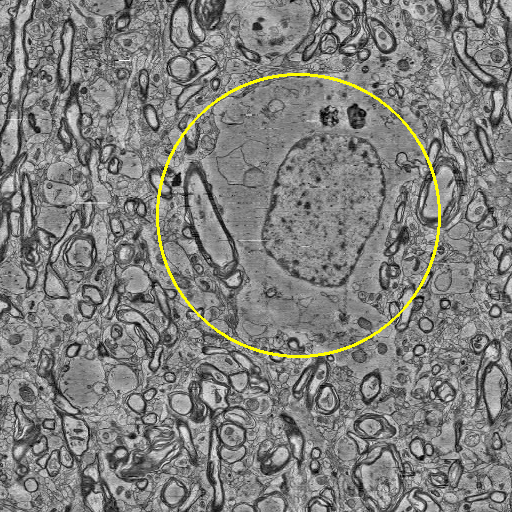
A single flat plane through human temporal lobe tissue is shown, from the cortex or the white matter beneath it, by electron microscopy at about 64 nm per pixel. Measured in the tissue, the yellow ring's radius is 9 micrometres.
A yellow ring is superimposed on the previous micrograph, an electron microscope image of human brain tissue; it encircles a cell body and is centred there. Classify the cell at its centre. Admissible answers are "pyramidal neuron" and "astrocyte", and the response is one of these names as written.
astrocyte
